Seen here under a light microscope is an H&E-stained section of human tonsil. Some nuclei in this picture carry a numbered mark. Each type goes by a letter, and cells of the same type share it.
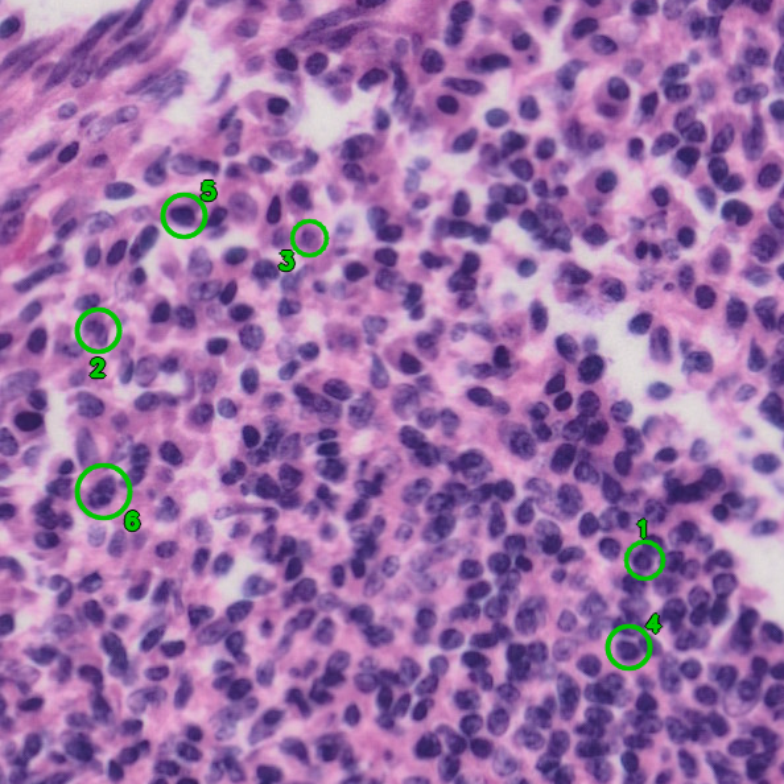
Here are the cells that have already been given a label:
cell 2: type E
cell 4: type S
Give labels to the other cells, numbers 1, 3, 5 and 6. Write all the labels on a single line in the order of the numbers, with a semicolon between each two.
type S; type E; type E; type E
